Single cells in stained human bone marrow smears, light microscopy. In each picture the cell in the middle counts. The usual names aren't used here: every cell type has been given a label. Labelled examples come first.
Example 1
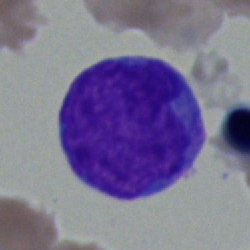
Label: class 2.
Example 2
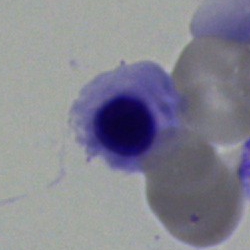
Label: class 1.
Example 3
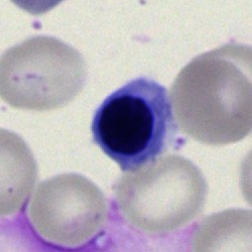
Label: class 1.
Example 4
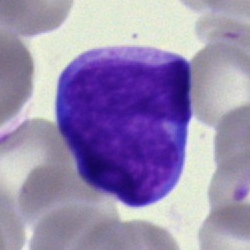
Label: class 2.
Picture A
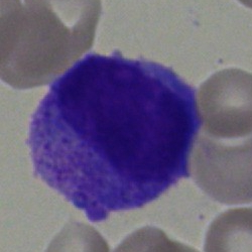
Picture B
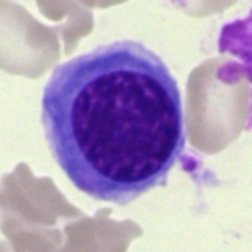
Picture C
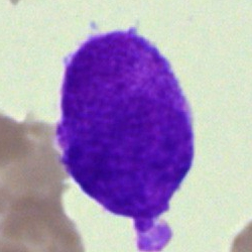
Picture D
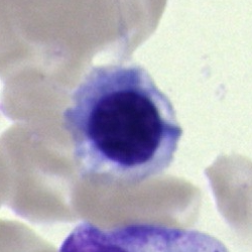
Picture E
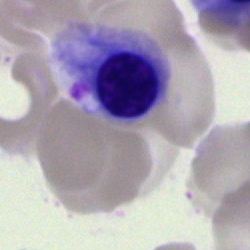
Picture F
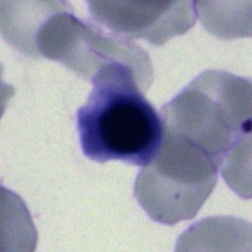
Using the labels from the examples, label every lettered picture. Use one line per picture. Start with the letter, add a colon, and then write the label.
A: class 2.
B: class 1.
C: class 2.
D: class 1.
E: class 1.
F: class 1.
